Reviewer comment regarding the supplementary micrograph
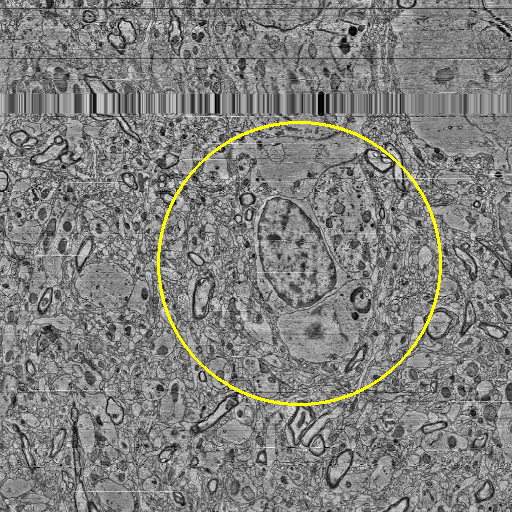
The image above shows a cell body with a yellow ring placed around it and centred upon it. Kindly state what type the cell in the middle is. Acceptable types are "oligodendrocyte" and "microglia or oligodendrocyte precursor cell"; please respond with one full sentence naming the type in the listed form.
In the image above, the cell on which the yellow ring is centred is a microglial cell or oligodendrocyte precursor cell.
